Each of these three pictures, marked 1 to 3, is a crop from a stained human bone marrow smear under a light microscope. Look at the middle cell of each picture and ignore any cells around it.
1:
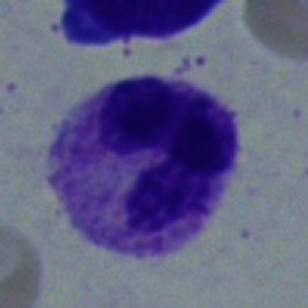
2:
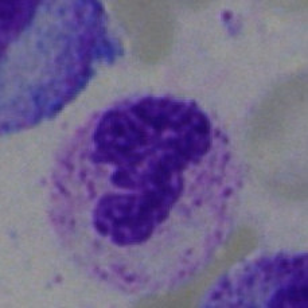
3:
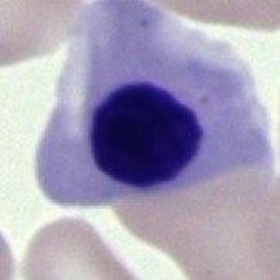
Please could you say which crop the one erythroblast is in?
3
